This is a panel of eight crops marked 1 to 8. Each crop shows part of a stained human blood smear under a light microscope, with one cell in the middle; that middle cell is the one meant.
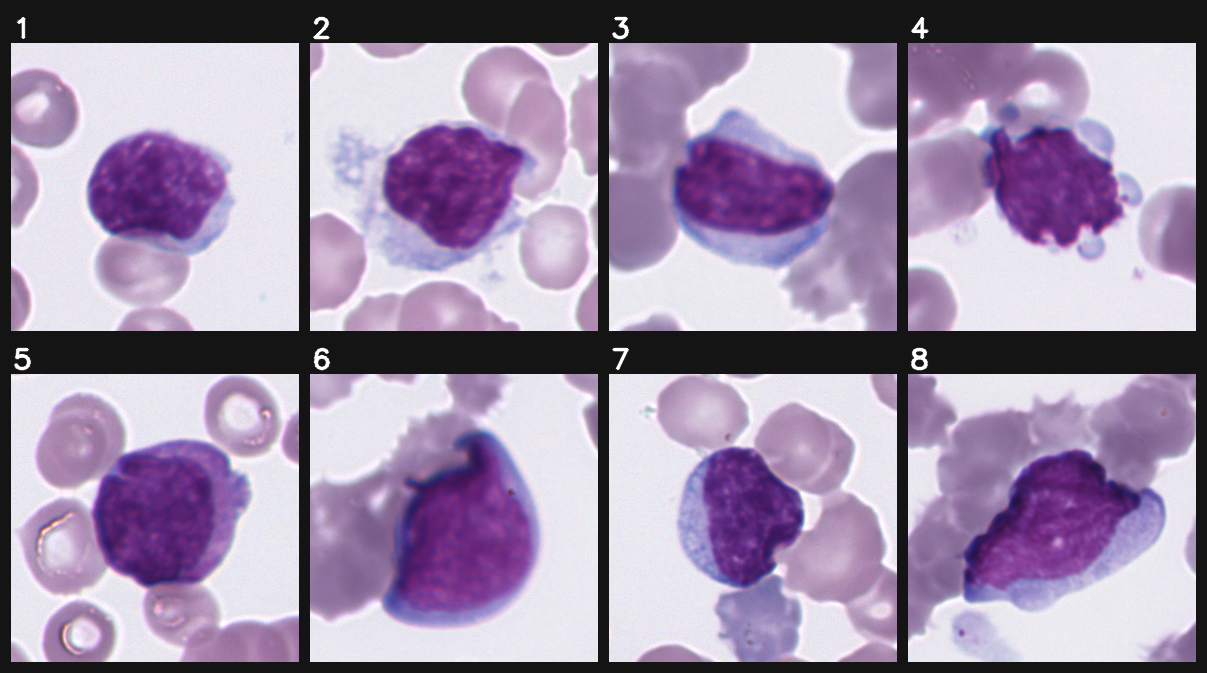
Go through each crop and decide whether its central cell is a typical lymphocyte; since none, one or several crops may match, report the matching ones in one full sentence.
As for crops 1, 3, 4 and 7, they show typical lymphocytes.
